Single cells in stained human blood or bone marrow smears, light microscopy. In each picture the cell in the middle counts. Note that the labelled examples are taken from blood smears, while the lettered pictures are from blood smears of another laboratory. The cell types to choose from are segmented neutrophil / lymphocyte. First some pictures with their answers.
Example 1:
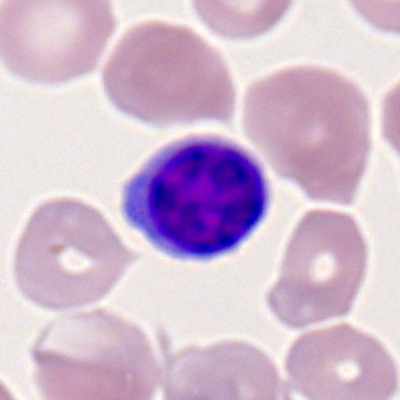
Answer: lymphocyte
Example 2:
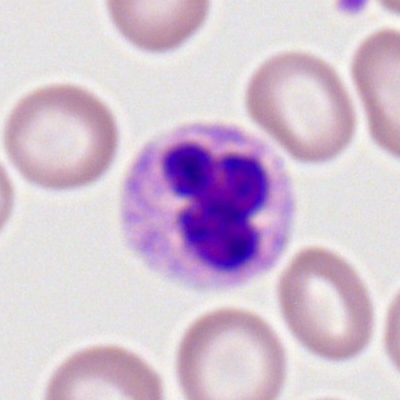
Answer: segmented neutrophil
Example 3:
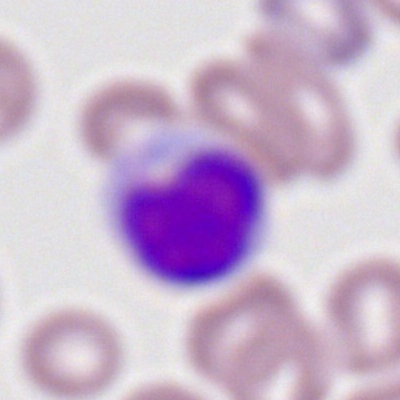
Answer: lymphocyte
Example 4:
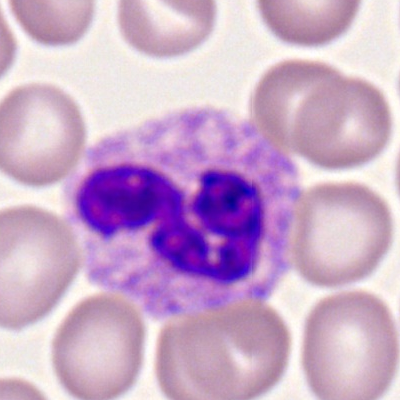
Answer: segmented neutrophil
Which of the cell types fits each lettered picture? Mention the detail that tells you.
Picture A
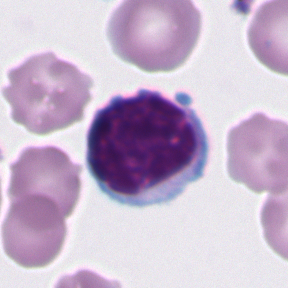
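lymphocyte. Reason: The cytoplasm forms a narrow rim that is widest at the lower right.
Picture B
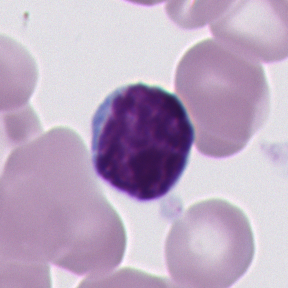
lymphocyte. Reason: The cytoplasm is scant and shows mainly as a thin crescent on the left side.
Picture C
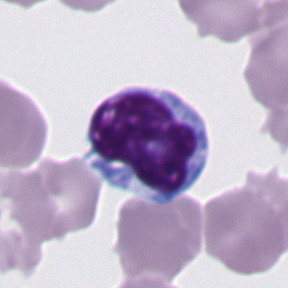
lymphocyte. Reason: The nucleus fills most of the cell.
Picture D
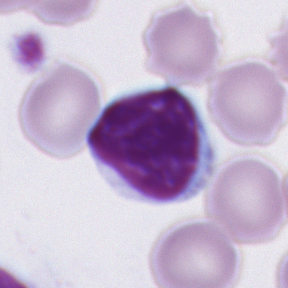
lymphocyte. Reason: The nucleus fills most of the cell.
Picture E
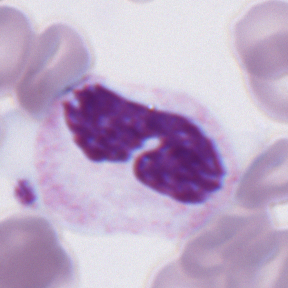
segmented neutrophil. Reason: The cytoplasm is plentiful and very pale pinkish.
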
